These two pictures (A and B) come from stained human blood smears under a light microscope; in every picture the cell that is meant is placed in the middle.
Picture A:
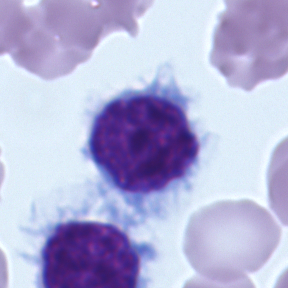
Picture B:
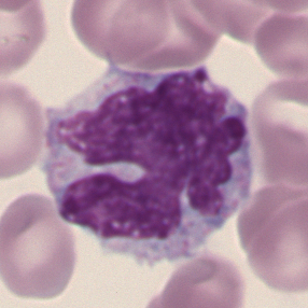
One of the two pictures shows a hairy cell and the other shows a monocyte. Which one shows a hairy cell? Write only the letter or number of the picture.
A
